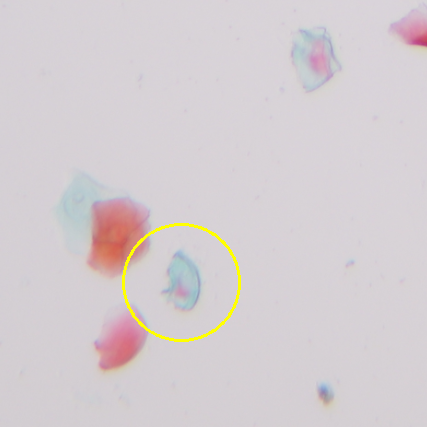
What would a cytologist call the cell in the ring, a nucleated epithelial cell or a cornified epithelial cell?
A cytologist would call it a cornified epithelial cell.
